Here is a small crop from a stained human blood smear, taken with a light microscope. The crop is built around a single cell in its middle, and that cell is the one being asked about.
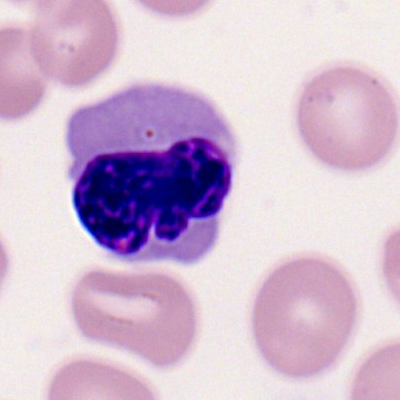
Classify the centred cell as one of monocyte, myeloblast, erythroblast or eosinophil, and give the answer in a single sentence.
To answer, the cell in the center of the crop is an erythroblast.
